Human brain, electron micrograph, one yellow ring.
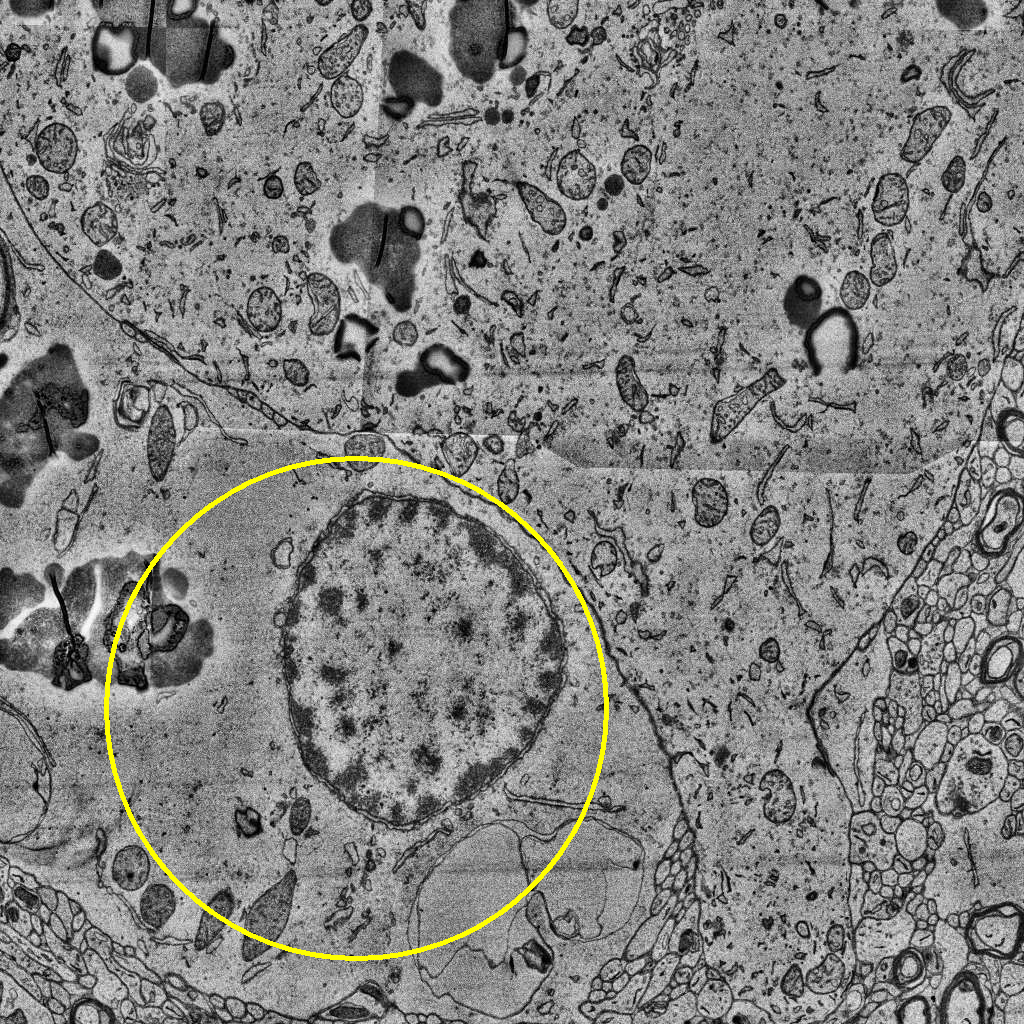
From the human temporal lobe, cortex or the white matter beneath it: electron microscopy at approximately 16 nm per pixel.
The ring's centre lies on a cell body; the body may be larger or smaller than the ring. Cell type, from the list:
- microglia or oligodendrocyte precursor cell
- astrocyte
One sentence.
The yellow ring's centre lies on an astrocyte.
